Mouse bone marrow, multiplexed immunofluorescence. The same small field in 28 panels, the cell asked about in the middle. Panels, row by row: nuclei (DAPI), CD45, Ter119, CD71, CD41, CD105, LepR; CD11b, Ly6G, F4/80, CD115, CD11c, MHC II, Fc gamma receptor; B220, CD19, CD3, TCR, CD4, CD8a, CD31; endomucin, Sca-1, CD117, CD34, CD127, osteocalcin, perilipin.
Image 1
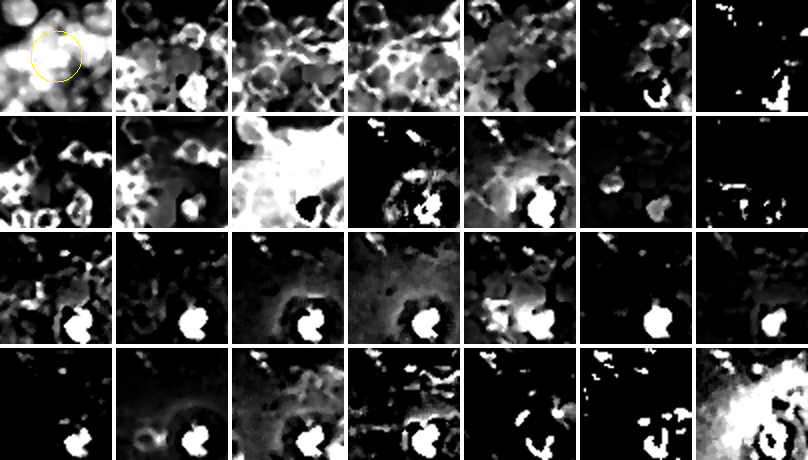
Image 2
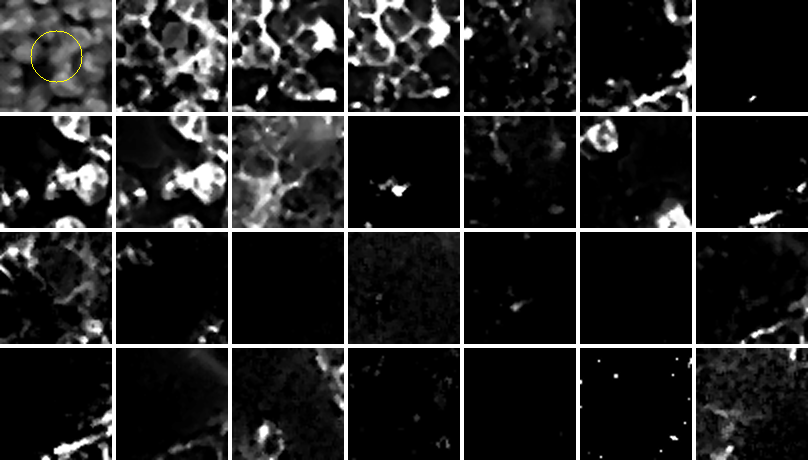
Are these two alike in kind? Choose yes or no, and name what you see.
Yes. Erythroblasts.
